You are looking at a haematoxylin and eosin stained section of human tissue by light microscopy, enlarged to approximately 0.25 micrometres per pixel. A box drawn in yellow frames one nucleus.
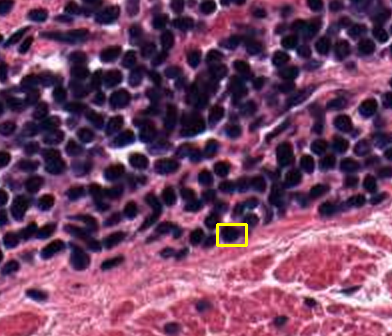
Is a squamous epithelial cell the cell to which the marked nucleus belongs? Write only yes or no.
no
